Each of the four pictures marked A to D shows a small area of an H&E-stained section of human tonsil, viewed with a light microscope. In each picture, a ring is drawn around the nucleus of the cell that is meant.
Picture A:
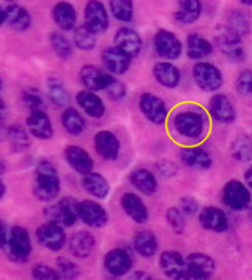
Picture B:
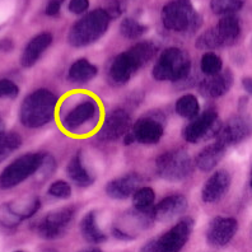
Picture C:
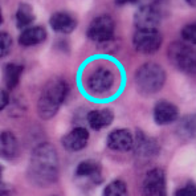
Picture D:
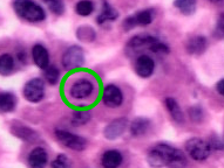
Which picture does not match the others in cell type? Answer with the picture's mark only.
B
